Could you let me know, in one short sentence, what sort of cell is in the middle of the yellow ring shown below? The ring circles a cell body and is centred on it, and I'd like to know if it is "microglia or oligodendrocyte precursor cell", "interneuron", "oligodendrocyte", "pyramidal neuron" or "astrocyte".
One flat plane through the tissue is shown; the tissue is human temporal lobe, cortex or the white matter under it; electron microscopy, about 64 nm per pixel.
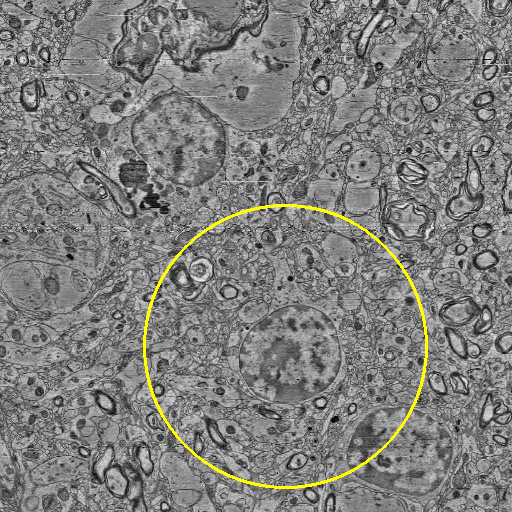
The ring circles the cell body of a microglial cell or oligodendrocyte precursor cell.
